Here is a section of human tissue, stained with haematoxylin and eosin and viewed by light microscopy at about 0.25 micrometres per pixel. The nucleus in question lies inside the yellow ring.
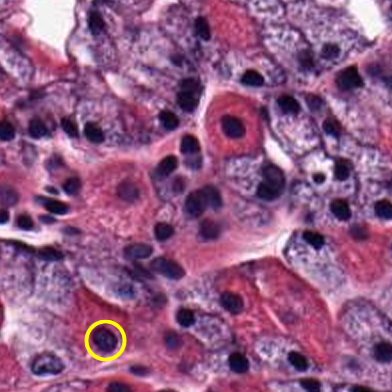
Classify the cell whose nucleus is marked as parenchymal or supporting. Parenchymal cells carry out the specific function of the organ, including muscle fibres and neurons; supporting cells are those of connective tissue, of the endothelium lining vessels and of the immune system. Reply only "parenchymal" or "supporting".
parenchymal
